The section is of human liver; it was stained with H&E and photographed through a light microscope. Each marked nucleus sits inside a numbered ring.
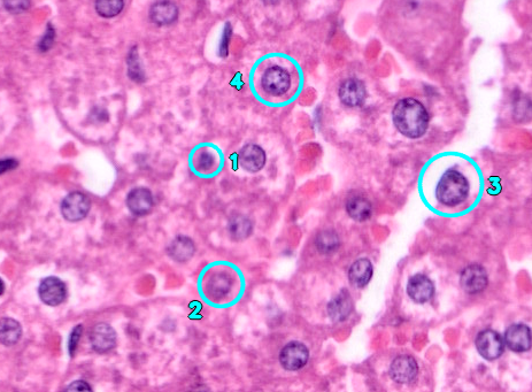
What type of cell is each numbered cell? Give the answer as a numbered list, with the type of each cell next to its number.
1. lymphocyte
2. hepatocyte
3. hepatocyte
4. hepatocyte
